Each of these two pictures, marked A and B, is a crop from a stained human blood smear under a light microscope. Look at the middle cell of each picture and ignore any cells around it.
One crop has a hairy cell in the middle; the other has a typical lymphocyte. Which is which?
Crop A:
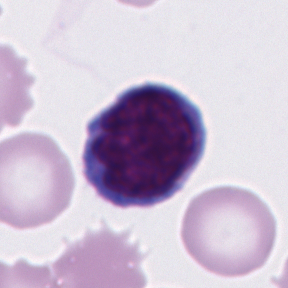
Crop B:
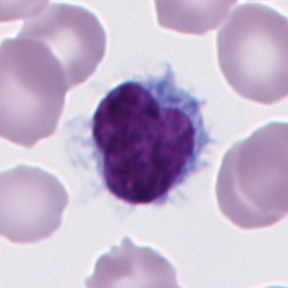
A: typical lymphocyte
B: hairy cell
